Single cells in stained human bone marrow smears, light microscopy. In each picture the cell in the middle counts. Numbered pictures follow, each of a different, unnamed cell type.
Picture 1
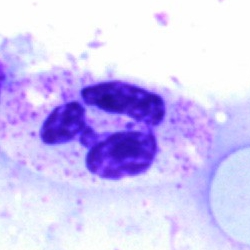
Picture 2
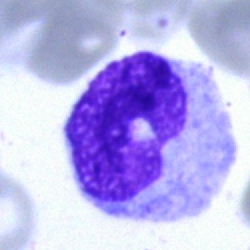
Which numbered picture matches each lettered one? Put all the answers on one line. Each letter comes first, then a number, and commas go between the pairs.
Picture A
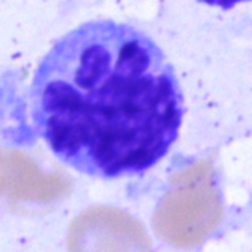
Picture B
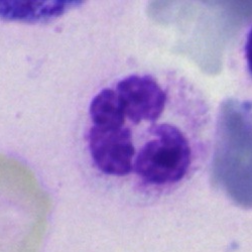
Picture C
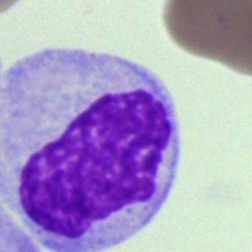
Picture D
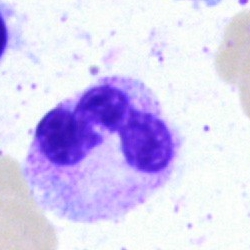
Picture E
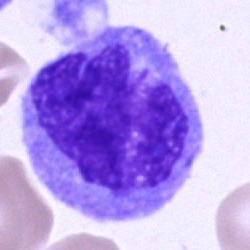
A 2, B 1, C 2, D 1, E 2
